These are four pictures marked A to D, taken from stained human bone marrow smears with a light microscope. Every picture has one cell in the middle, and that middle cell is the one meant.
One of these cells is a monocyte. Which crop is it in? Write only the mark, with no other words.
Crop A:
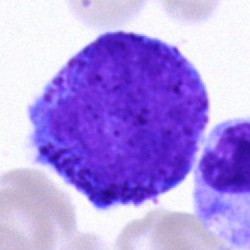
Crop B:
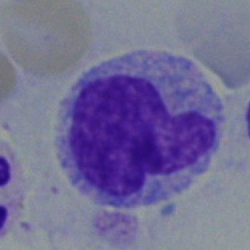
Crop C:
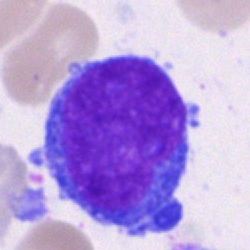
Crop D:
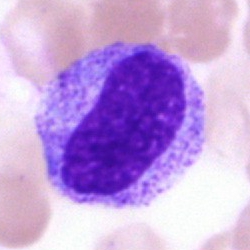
B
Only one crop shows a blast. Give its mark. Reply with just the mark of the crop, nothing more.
C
